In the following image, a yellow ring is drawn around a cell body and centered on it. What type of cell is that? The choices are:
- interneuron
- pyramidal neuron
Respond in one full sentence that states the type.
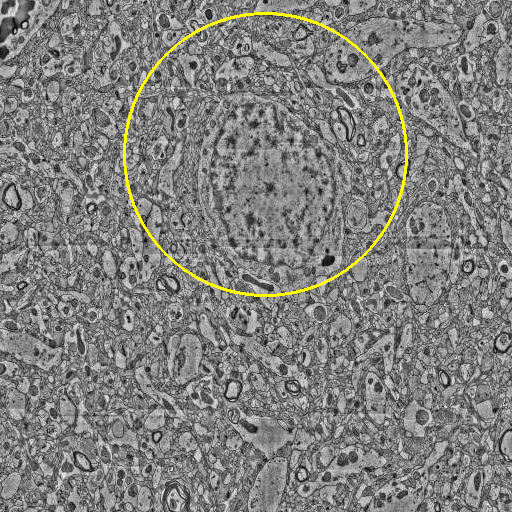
The cell at the center of the yellow ring in the image is an interneuron.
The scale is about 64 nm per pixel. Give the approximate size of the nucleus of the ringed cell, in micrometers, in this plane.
Roughly 10 by 8 micrometres is the size of the nucleus in this plane.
